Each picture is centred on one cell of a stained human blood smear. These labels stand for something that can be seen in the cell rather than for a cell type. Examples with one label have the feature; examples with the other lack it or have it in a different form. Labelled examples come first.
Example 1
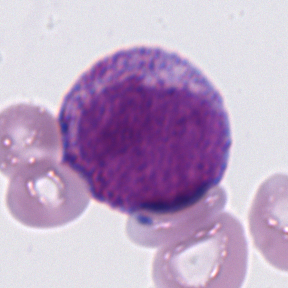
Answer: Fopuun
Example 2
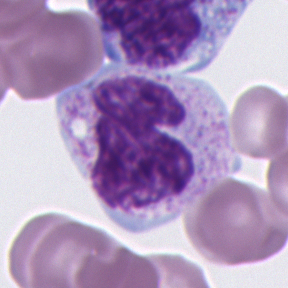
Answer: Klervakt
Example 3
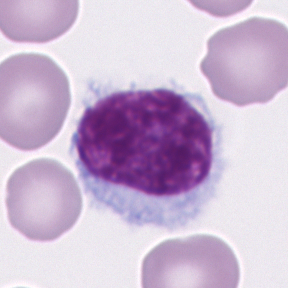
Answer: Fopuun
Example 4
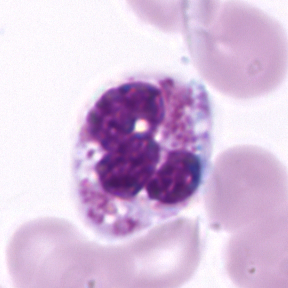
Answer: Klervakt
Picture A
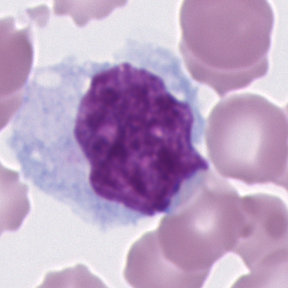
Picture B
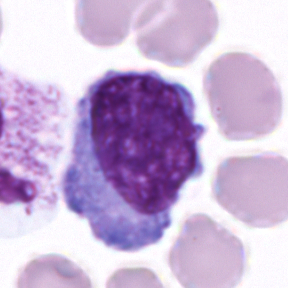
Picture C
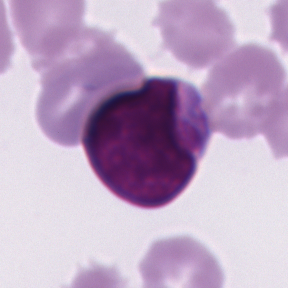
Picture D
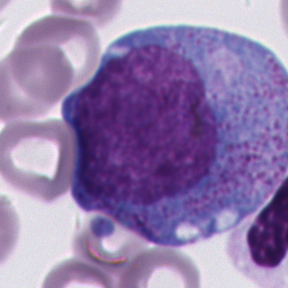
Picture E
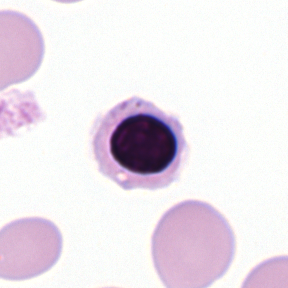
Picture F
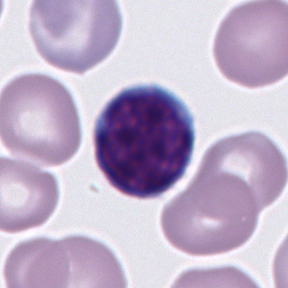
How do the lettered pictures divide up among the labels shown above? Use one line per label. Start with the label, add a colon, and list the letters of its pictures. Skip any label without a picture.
Fopuun: B, C, F
Klervakt: A, D, E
